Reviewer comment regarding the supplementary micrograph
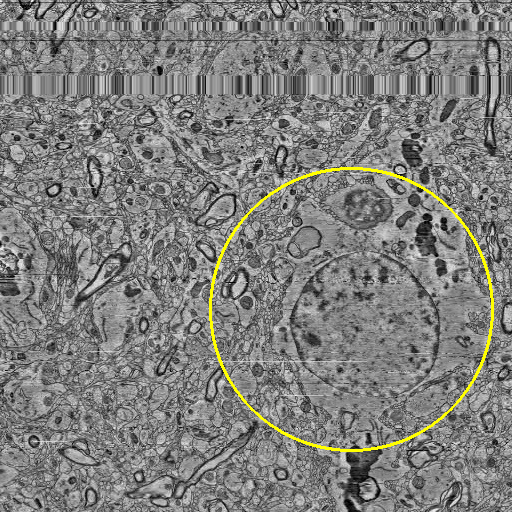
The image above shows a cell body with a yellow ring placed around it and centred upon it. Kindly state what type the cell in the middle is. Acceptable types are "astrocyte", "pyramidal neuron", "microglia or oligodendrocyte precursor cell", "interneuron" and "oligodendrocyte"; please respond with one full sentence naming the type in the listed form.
In the image above, the cell on which the yellow ring is centred is an astrocyte.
